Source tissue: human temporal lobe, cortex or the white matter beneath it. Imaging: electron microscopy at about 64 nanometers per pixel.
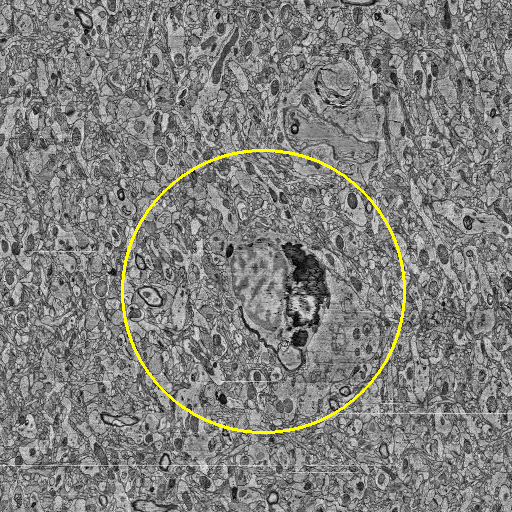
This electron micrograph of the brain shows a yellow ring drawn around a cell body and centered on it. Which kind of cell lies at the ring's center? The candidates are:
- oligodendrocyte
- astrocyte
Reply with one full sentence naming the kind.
The cell lying at the ring's center in this micrograph is an oligodendrocyte.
